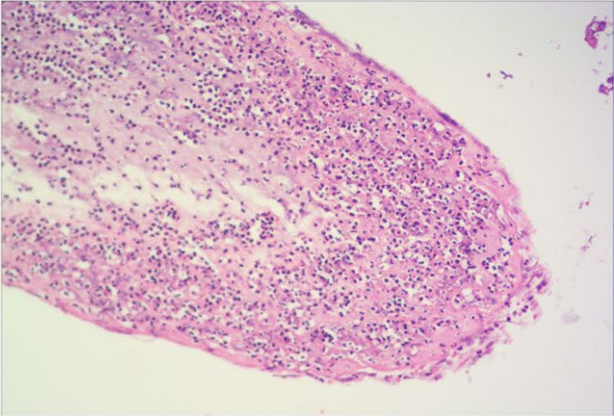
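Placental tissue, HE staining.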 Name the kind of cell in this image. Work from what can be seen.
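Many small, dark purple nuclei are packed densely through the pink tissue strip. The crowded small nuclei spread across the full width of the strip.
Conclusion: neutrophils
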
